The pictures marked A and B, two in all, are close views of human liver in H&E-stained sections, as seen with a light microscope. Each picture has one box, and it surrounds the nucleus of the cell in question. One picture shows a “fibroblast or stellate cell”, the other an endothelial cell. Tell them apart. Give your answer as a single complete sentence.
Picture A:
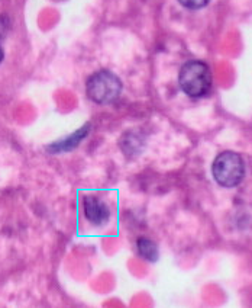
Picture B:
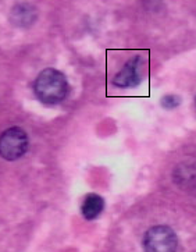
Picture B shows an endothelial cell, while picture A shows a “fibroblast or stellate cell”.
